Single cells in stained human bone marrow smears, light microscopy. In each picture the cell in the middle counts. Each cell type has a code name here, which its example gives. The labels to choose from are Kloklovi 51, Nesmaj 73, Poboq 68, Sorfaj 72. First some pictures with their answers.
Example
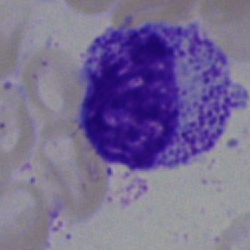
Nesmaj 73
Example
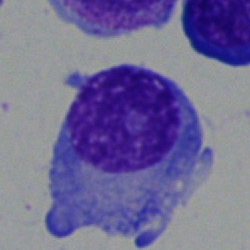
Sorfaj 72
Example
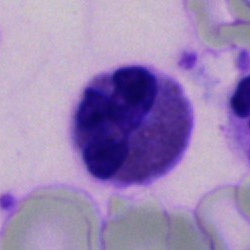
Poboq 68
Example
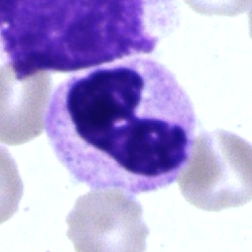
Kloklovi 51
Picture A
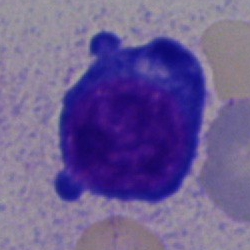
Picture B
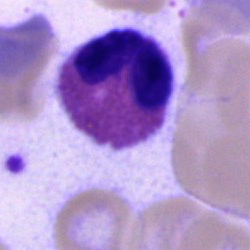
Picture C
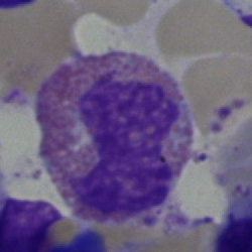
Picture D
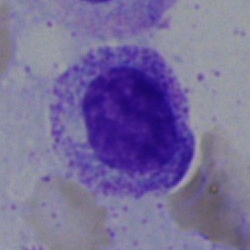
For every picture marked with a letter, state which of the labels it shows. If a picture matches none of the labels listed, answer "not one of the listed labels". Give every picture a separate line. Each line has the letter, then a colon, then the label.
A: not one of the listed labels
B: Poboq 68
C: Poboq 68
D: Nesmaj 73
